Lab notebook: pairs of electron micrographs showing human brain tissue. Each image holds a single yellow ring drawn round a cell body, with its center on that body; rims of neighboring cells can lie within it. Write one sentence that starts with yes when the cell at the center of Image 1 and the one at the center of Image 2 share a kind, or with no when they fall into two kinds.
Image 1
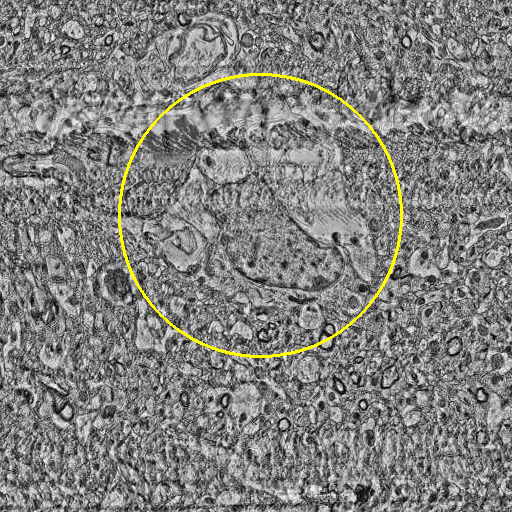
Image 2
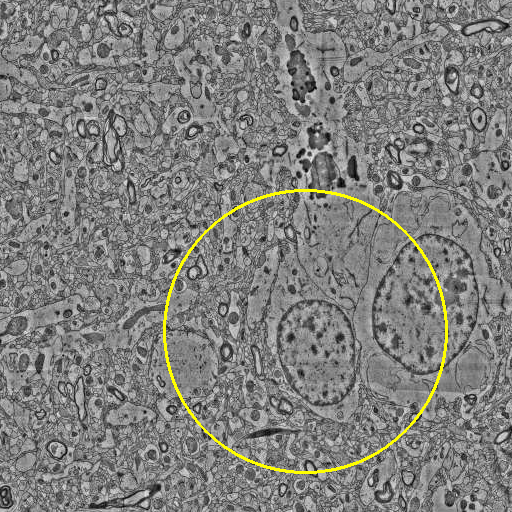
No, the centered cell in Image 1 and the centered cell in Image 2 are of two kinds.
